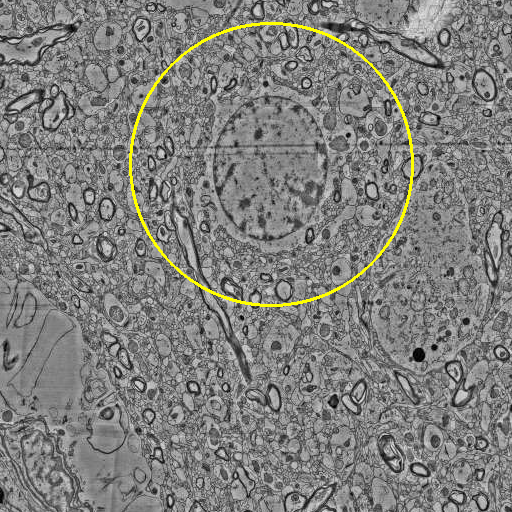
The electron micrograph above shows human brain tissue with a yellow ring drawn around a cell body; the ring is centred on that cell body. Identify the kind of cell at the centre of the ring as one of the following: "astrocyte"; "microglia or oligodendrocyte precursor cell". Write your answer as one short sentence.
The cell at the centre of the ring is an astrocyte.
